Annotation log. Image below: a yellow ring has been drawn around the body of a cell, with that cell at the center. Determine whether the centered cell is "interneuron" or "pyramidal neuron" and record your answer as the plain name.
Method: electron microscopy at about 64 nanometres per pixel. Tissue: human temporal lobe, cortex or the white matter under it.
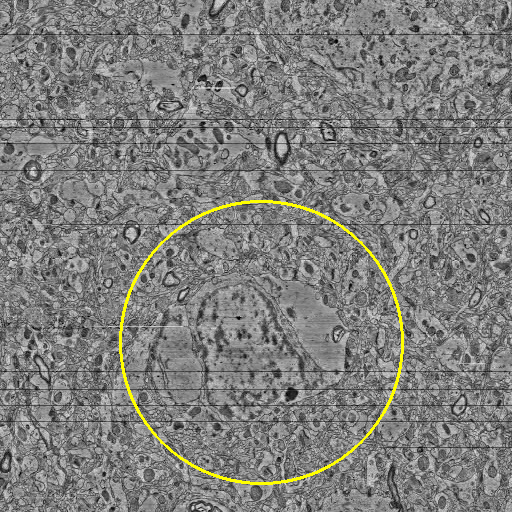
interneuron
